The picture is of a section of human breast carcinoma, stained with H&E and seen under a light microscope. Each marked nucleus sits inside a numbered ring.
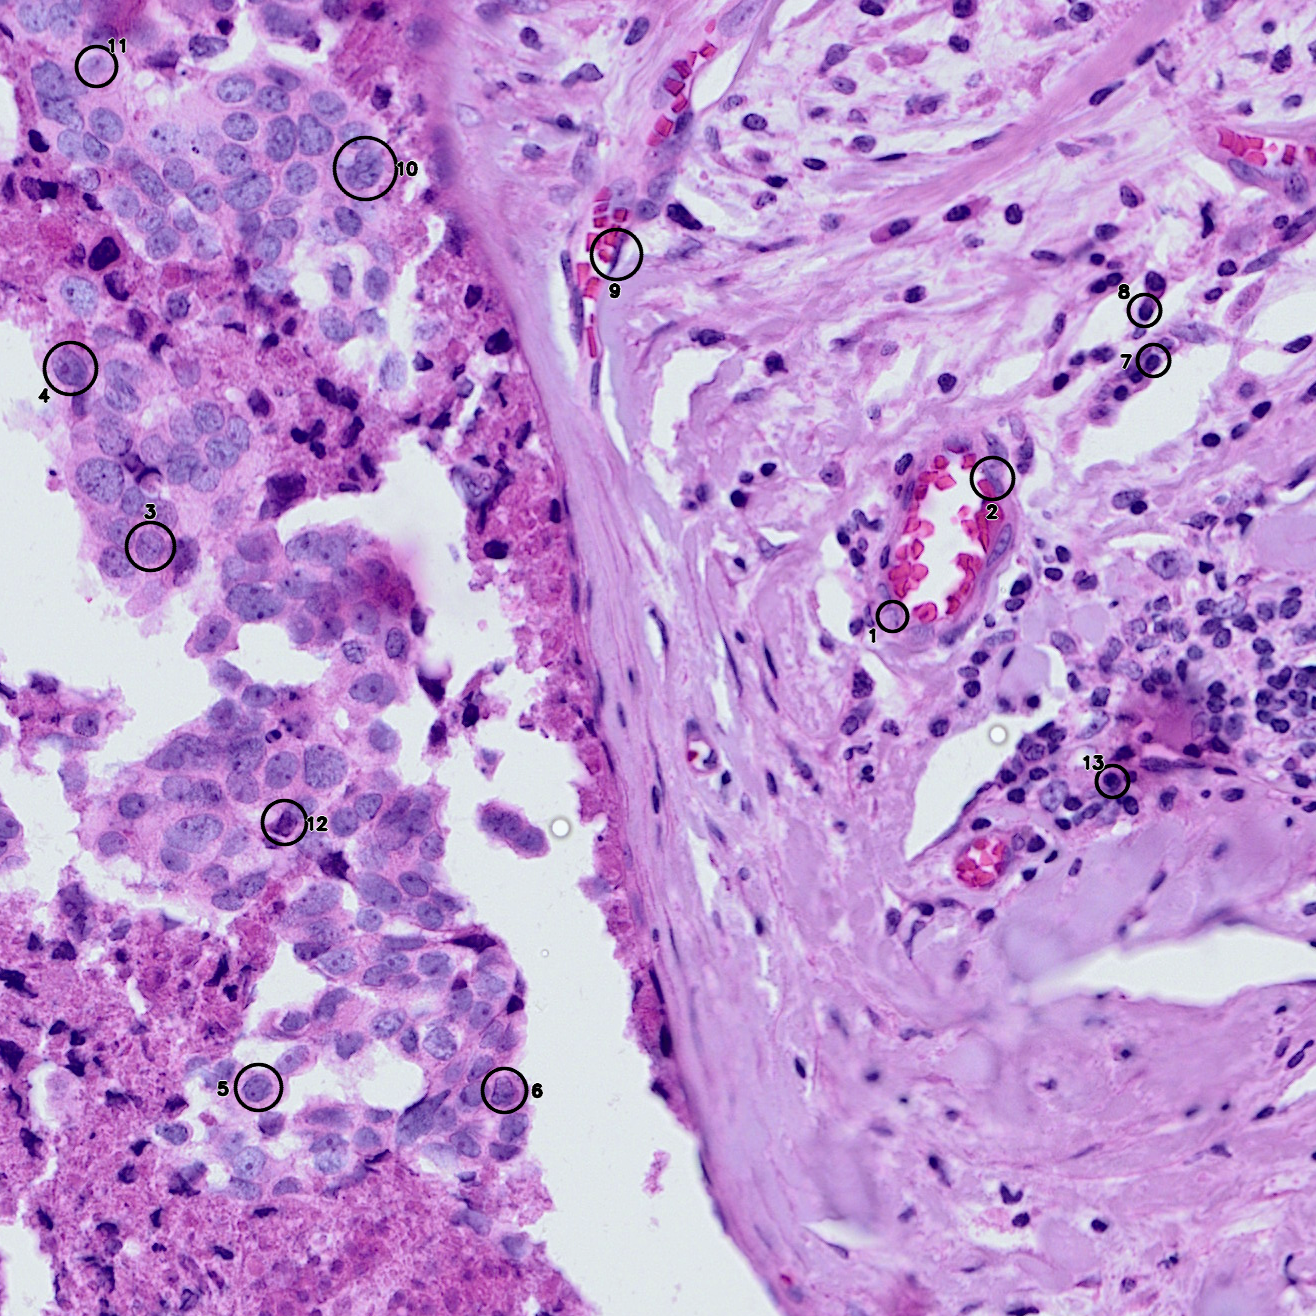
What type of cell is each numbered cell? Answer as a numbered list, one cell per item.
1. endothelial cell
2. endothelial cell
3. carcinoma cell
4. carcinoma cell
5. carcinoma cell
6. carcinoma cell
7. lymphocyte
8. lymphocyte
9. endothelial cell
10. carcinoma cell
11. carcinoma cell
12. carcinoma cell
13. lymphocyte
